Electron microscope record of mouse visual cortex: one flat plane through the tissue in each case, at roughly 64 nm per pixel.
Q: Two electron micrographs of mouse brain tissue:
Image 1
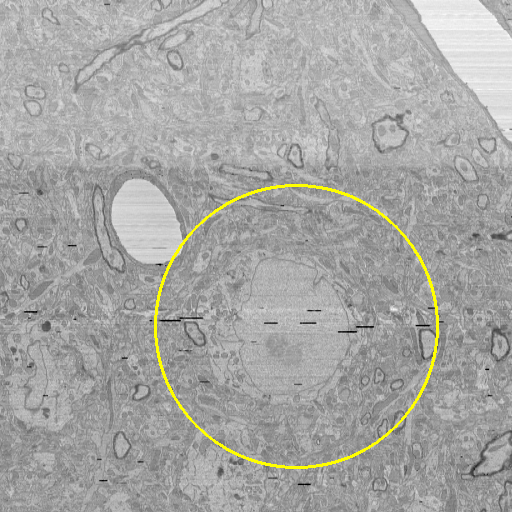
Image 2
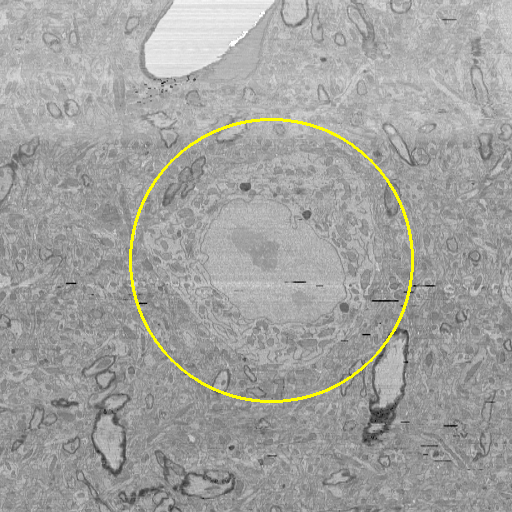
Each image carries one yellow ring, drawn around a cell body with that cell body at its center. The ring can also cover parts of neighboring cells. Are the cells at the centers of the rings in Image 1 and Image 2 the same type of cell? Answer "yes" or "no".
yes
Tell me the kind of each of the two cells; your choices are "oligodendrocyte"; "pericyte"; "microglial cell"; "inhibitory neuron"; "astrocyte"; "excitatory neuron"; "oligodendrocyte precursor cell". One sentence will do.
In both pictures the ring is centred on an inhibitory neuron.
